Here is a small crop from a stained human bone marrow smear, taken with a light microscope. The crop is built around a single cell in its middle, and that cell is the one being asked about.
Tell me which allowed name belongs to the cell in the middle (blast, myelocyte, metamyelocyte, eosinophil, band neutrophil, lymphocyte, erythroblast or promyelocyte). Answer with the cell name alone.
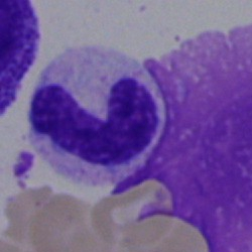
band neutrophil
